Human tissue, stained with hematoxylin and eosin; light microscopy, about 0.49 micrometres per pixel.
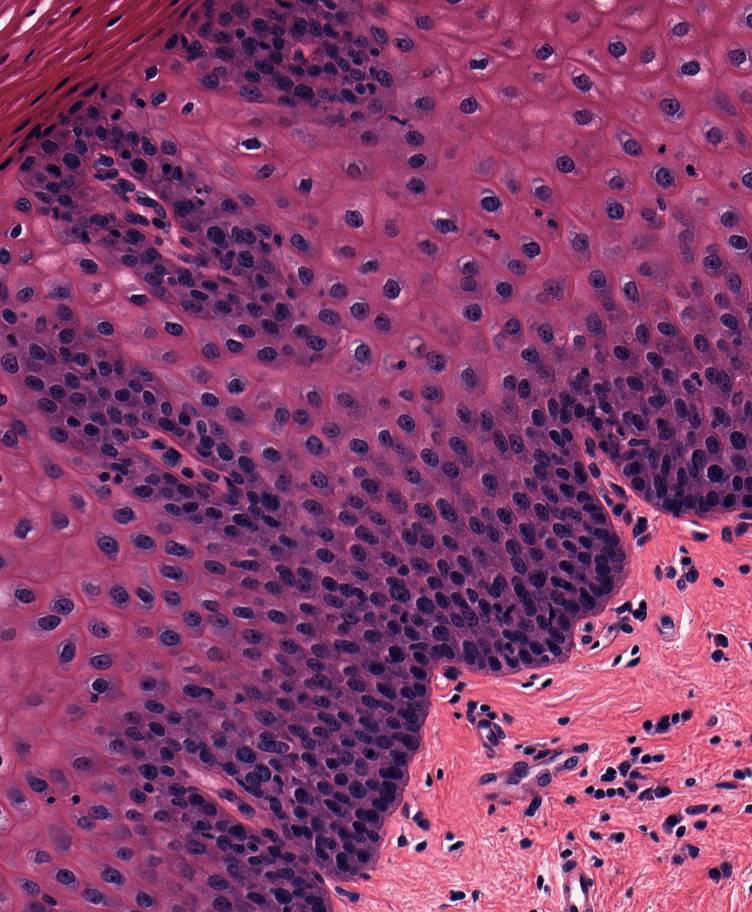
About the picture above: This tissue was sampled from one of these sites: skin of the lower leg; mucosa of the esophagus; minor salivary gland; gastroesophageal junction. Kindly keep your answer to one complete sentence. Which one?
The tissue sectioned for this slide came from the mucosa of the esophagus.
